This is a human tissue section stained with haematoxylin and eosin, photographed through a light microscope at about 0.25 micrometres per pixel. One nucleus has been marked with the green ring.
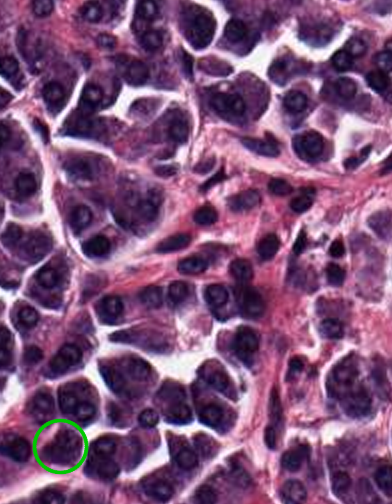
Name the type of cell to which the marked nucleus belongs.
pancreatic acinar cell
